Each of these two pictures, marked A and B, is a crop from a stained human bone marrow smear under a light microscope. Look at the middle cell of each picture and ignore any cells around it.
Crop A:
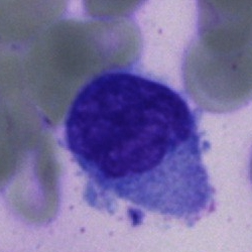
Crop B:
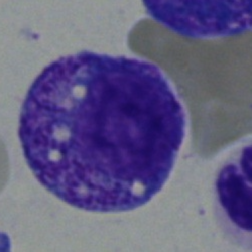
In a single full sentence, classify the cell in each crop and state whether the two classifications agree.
No, crop A and crop B show a monocyte and a myelocyte respectively.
